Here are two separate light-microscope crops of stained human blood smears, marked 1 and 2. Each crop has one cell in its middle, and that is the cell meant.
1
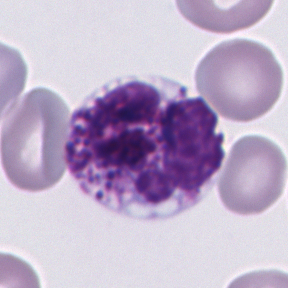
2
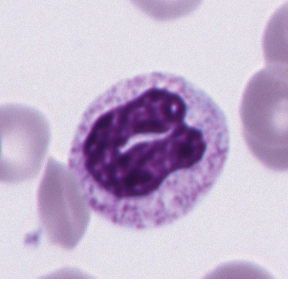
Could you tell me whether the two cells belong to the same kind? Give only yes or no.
no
